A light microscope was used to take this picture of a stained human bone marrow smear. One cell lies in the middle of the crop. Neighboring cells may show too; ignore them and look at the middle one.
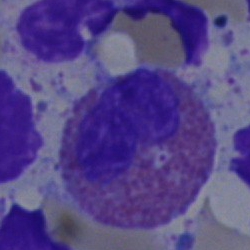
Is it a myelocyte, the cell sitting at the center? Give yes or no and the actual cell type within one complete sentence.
No, this is not a myelocyte at all; the cell in the middle is an eosinophil.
